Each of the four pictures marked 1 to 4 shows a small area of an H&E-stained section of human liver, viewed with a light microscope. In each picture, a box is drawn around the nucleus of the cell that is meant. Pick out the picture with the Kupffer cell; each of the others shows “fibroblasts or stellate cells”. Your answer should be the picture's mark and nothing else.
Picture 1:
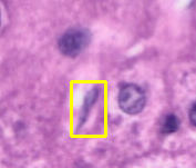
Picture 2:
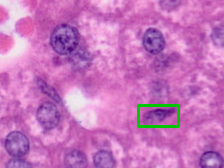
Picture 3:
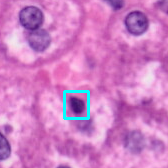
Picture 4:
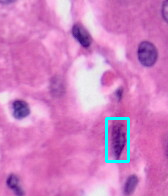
1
